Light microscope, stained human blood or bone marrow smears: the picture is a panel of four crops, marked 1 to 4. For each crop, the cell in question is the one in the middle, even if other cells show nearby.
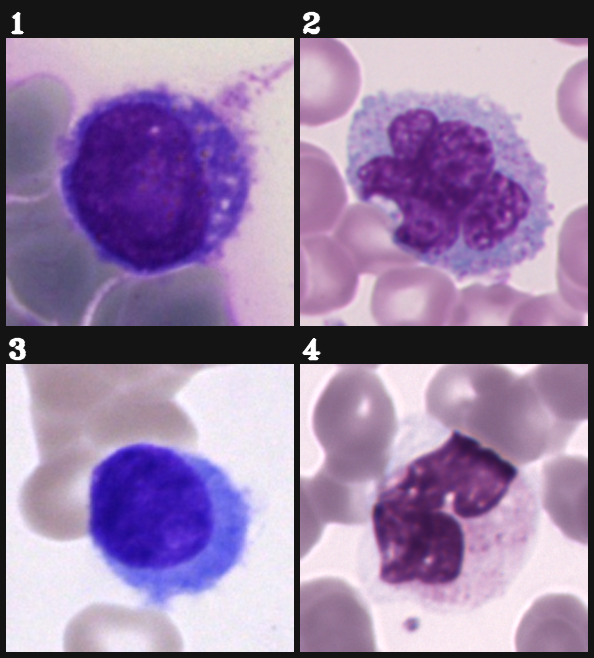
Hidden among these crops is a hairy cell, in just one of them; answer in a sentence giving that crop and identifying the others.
At the centre of crop 3 lies a hairy cell, while crop 1 is a blast, crop 2 is a monocyte and crop 4 is a segmented neutrophil.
